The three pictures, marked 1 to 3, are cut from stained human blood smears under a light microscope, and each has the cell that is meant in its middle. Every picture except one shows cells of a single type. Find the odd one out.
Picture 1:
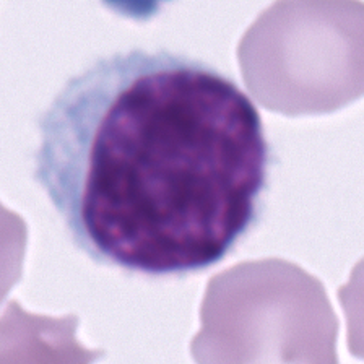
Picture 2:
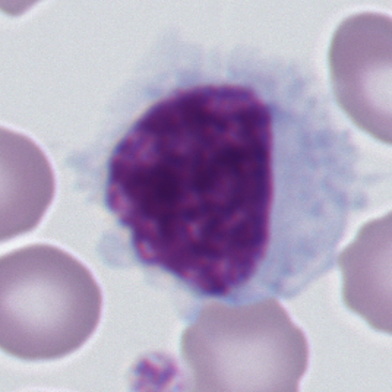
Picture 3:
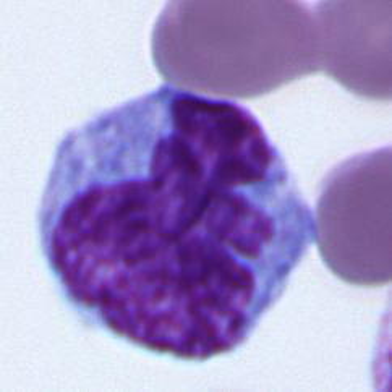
3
